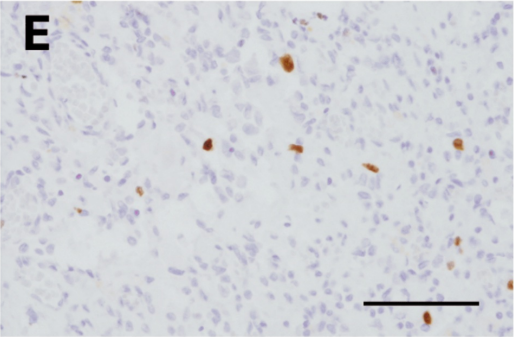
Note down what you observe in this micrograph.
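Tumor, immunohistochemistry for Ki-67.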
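A few scattered nuclei are stained brown. The brown nuclei are sparse and lie singly rather than in groups. The cells are loosely spaced in a pale background.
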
